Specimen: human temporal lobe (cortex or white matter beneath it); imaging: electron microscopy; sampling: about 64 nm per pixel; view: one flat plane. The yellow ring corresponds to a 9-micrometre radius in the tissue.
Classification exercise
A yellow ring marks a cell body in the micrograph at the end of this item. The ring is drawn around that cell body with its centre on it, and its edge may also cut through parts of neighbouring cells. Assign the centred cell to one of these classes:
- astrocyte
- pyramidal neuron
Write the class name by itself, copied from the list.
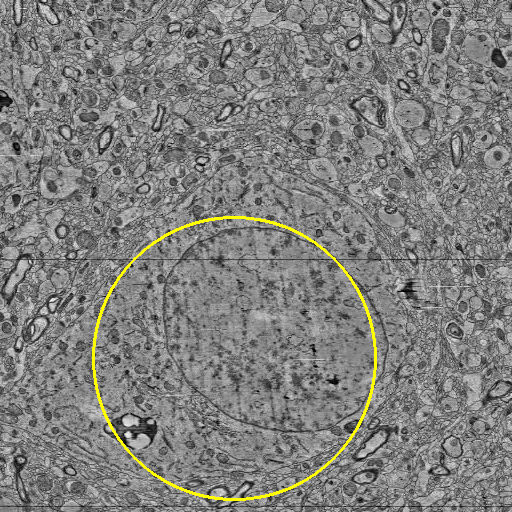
pyramidal neuron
